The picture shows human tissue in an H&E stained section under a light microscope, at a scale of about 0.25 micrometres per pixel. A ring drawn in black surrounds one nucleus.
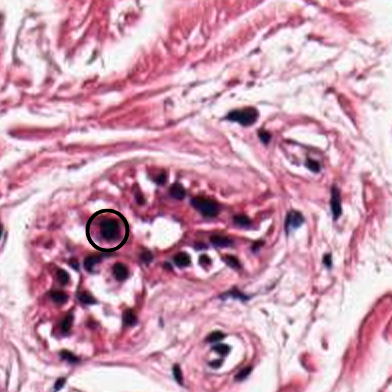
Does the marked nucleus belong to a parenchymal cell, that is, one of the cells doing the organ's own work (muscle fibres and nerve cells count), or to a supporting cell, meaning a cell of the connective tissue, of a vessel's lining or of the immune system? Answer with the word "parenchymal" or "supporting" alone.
parenchymal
